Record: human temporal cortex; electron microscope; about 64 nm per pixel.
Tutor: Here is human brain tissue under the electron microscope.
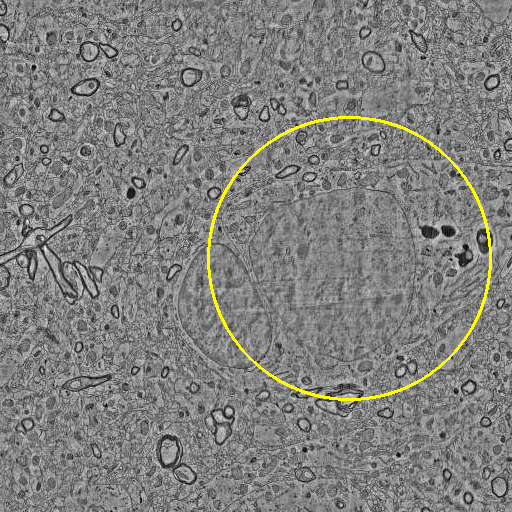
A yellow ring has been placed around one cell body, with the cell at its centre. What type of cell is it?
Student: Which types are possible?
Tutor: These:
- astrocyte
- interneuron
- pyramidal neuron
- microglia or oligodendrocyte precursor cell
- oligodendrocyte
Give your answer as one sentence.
What the ring picks out here is a pyramidal neuron.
